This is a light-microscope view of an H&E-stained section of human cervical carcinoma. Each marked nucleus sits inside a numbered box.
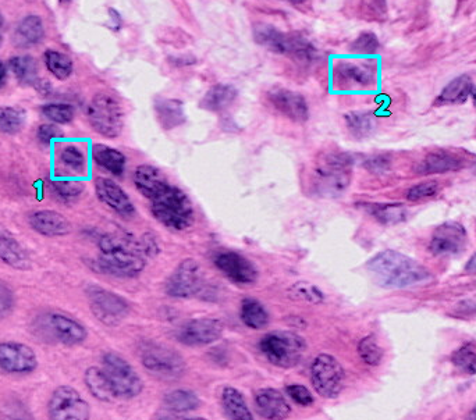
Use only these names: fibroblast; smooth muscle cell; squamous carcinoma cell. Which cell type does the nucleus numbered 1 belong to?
squamous carcinoma cell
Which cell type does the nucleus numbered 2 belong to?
fibroblast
